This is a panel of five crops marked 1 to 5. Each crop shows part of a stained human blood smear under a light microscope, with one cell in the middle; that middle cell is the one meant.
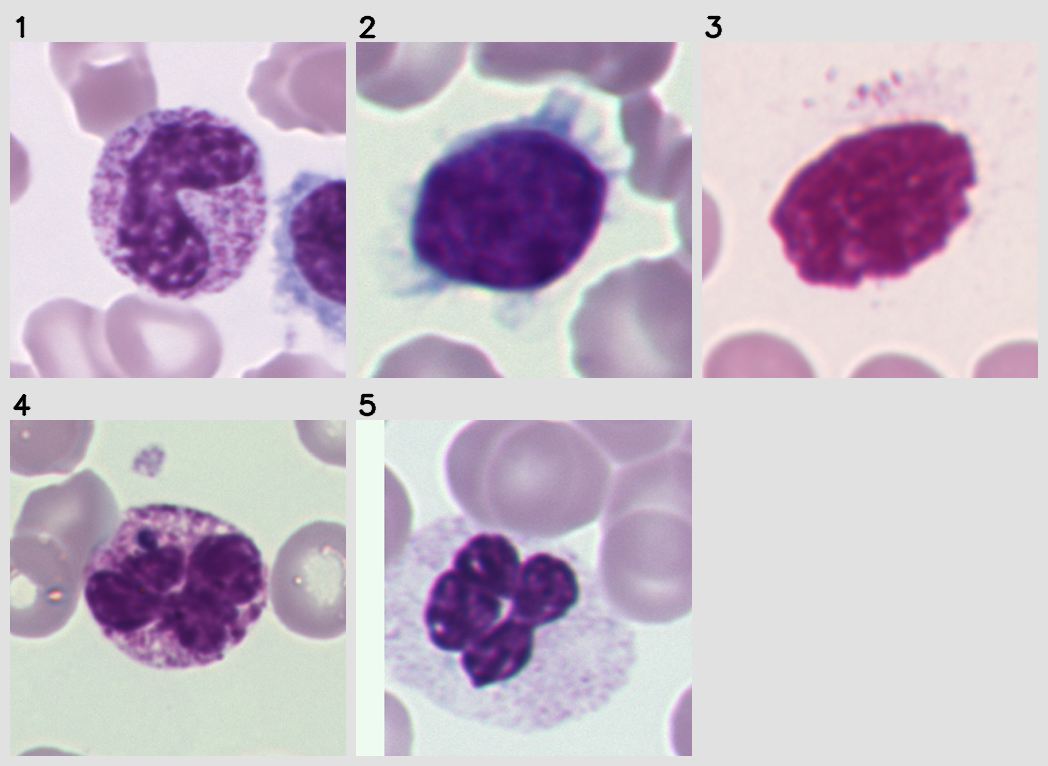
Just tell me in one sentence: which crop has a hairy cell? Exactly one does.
Crop 2 is the crop in which a hairy cell is shown.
